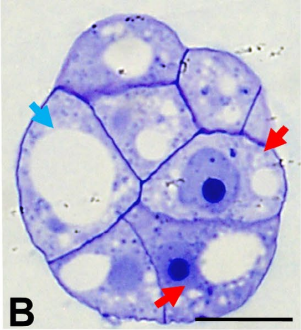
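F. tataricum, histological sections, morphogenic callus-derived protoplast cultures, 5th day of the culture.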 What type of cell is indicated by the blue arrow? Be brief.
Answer: vacuolated cells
